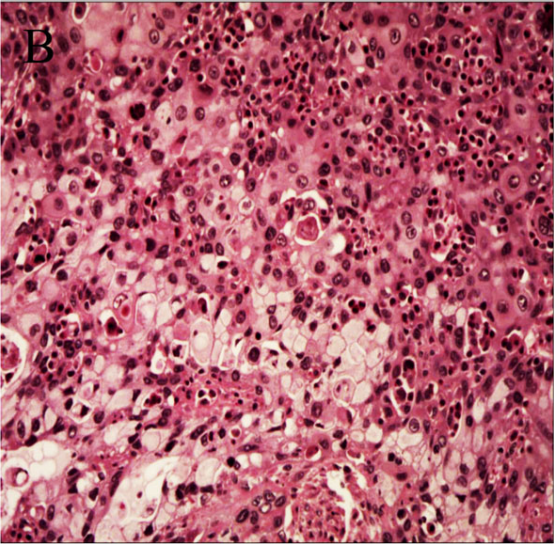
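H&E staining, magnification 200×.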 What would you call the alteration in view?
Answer: Eosinophil infiltrations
